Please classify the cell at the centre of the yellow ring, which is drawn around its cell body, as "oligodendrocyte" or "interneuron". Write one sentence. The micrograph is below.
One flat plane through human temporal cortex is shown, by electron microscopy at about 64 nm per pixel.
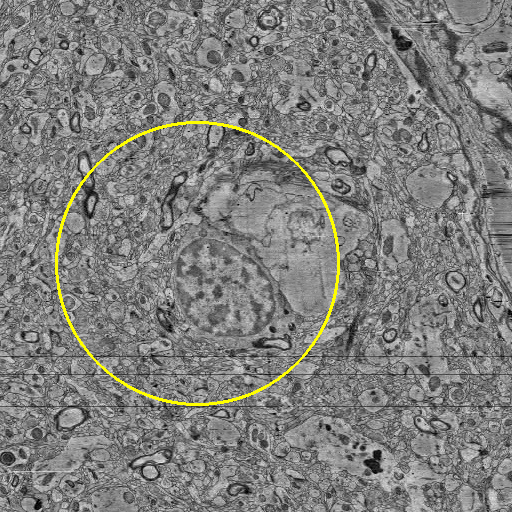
The cell at the ring's centre is classified as an oligodendrocyte.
